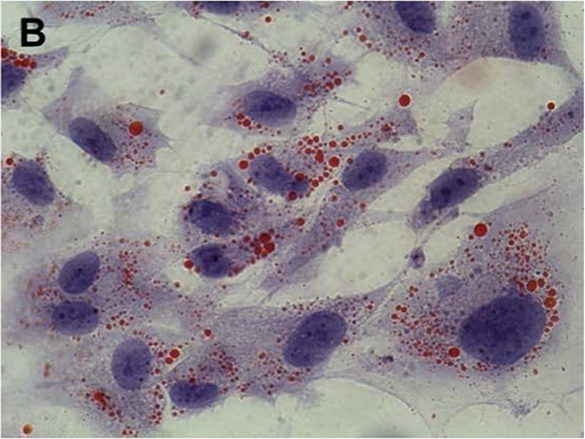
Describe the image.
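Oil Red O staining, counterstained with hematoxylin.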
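The cells are flattened and irregular, some spindle-shaped, with pale violet cytoplasm and blurred borders. Their nuclei are oval, blue and finely granular. In most cells, many small red droplets together with fewer larger round red globules are spread through the cytoplasm, often gathered around the nucleus. Some cells hold only a few droplets while others are densely packed. Pale unstained spaces separate the cells.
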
